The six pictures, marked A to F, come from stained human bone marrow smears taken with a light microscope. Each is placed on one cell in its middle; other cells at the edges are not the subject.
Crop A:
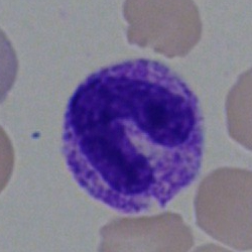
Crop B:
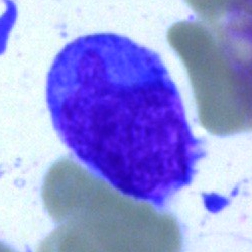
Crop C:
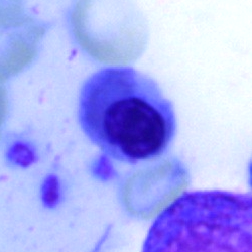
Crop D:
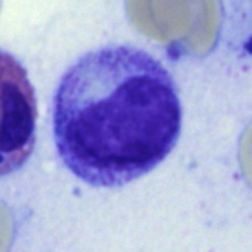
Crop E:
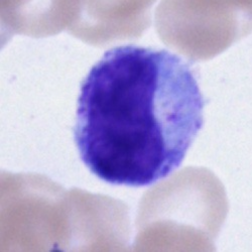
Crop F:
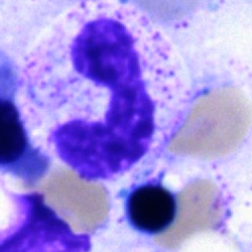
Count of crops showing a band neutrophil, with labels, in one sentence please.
Taken together, crops A and F make up the two that show band neutrophils.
